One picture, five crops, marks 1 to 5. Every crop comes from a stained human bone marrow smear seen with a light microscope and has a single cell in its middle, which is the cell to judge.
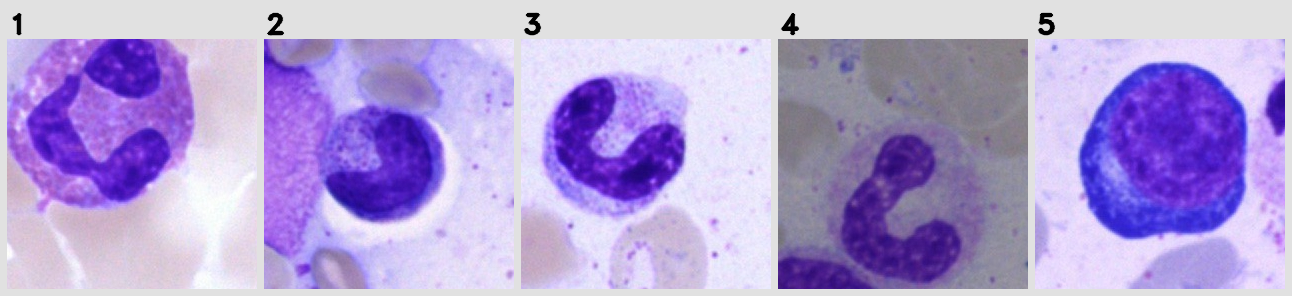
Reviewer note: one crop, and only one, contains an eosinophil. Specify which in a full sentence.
Selected crop: 1, which is the one that shows an eosinophil.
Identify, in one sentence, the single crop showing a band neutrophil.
That would be crop 3; it shows a band neutrophil.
